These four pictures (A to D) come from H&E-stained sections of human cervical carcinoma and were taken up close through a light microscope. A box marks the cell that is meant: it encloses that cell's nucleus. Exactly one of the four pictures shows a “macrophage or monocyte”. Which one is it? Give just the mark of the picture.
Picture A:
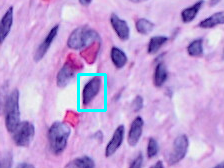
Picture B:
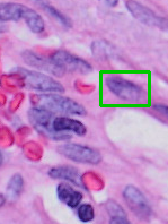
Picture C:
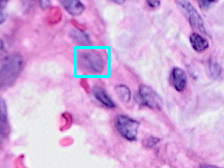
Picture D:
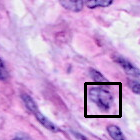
D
